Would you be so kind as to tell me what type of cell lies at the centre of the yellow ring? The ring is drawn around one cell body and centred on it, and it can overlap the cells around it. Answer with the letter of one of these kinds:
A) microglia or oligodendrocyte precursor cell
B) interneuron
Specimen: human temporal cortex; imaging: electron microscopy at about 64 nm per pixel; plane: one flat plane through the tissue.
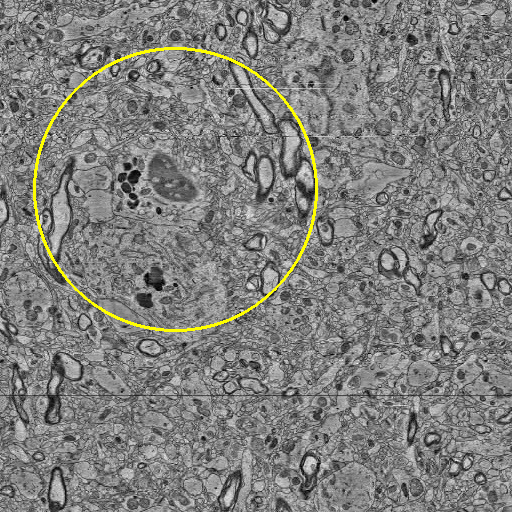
A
